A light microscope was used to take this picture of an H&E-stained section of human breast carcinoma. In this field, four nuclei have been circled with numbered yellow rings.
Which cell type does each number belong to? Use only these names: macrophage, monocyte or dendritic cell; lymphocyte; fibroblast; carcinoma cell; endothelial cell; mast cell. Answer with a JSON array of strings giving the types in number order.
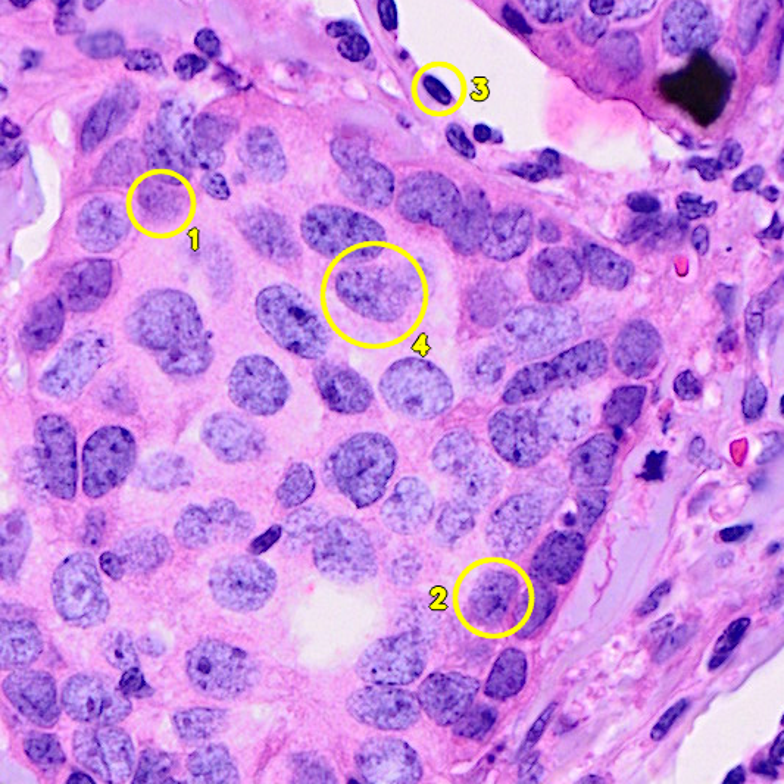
["carcinoma cell", "carcinoma cell", "lymphocyte", "carcinoma cell"]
